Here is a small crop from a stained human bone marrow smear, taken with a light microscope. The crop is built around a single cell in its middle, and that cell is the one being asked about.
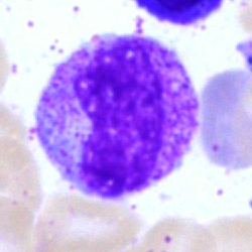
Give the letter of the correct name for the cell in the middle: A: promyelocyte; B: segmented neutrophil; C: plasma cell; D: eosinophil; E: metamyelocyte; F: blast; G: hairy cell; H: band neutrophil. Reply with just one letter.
E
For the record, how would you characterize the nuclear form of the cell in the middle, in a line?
Just one compact nuclear mass here, round, oval or kidney-shaped.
